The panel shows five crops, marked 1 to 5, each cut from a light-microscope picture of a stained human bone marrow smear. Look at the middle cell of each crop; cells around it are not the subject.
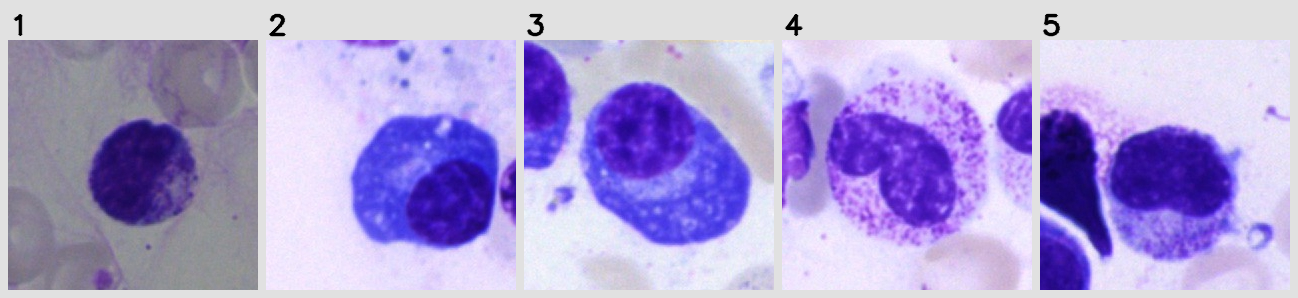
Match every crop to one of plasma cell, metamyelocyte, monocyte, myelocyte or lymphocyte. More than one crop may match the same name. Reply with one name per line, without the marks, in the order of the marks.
myelocyte
plasma cell
plasma cell
metamyelocyte
metamyelocyte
